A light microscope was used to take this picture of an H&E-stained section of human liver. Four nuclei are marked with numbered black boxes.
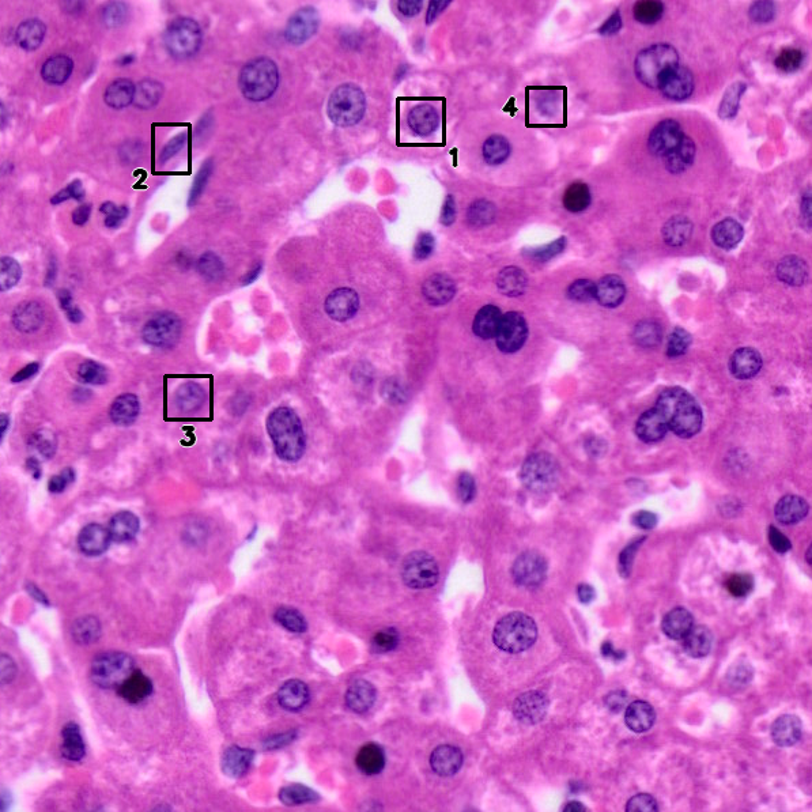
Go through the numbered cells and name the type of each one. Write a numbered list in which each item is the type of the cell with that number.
1. hepatocyte
2. fibroblast or stellate cell
3. hepatocyte
4. hepatocyte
